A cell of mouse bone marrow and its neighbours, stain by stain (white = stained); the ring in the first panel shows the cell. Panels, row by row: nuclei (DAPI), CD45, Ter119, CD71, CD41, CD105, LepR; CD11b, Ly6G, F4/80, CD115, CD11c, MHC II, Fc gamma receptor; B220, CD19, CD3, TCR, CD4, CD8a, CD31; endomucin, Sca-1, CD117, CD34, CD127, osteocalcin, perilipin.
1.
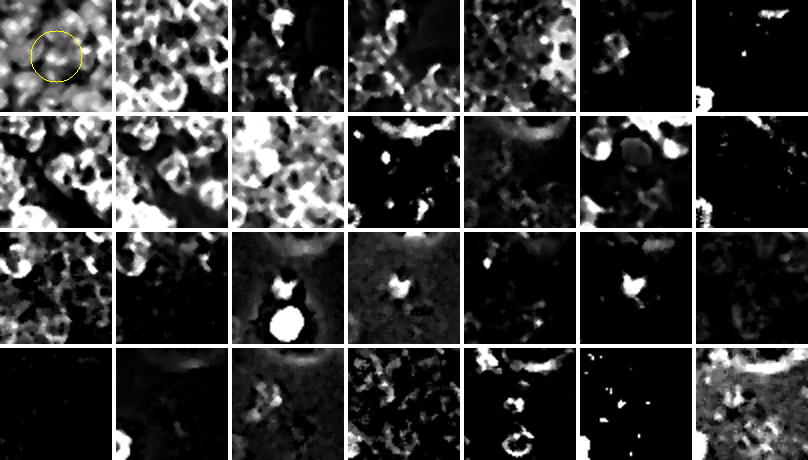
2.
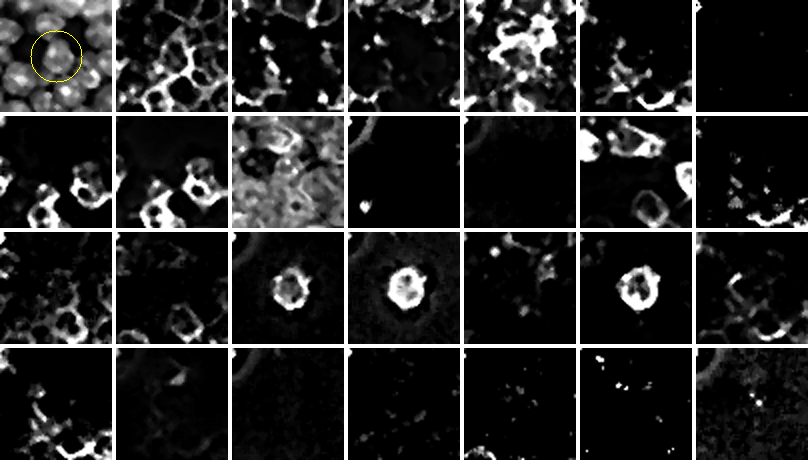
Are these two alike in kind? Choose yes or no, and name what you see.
Yes. CD8 T cells.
